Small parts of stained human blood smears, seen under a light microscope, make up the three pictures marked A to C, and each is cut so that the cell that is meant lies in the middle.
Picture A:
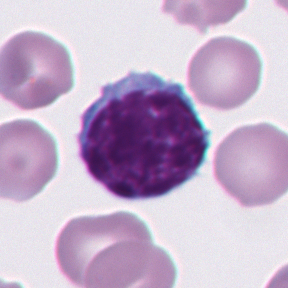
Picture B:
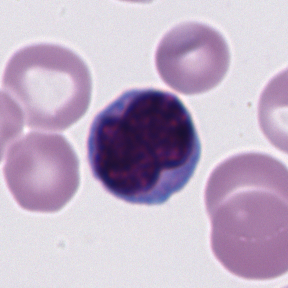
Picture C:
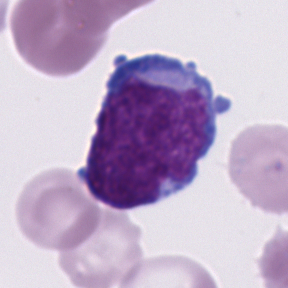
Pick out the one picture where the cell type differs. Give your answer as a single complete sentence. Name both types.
Picture C differs, because its cell is a myeloblast and the rest are typical lymphocytes.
